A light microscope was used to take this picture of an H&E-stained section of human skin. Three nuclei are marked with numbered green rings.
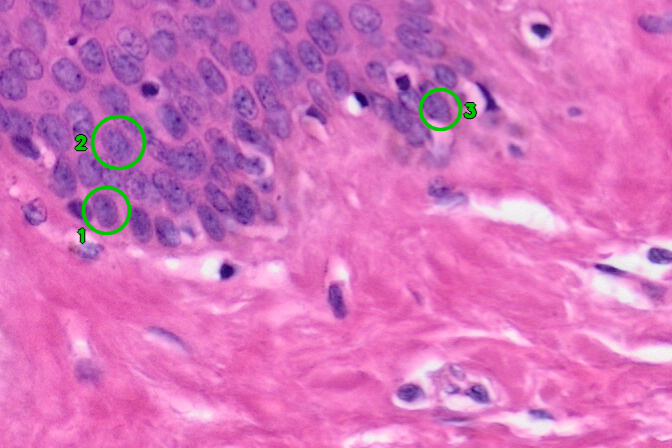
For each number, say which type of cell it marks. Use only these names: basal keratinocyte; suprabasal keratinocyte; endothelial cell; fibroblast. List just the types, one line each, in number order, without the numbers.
basal keratinocyte
suprabasal keratinocyte
basal keratinocyte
